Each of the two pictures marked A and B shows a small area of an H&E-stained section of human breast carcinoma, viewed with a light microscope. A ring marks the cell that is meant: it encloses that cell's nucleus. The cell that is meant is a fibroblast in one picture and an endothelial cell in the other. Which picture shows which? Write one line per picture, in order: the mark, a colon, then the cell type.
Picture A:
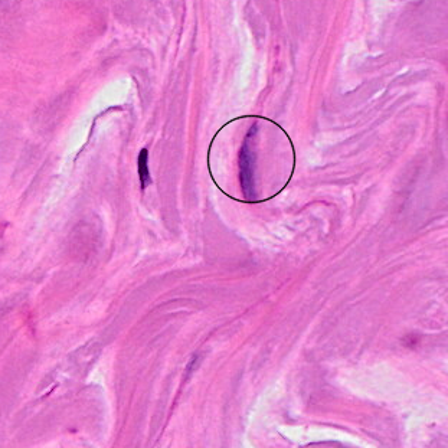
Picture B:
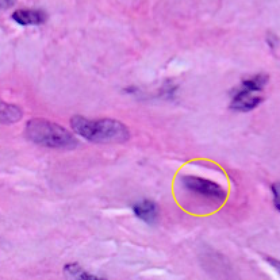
A: fibroblast
B: endothelial cell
